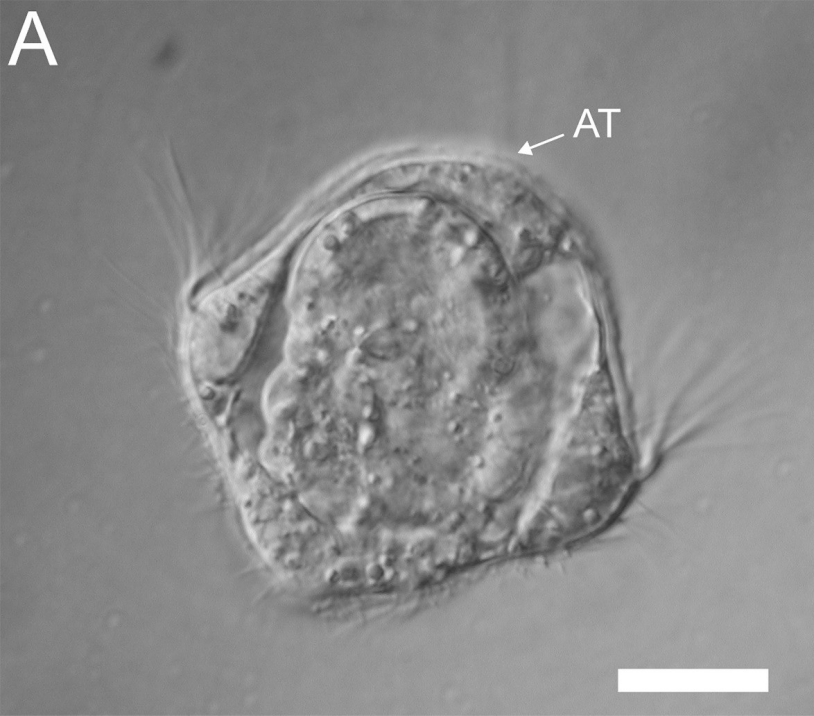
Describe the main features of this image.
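A whole trochophore larva seen by interference contrast, rounded to somewhat angular in outline. Long cilia project from the surface, clustered in tufts at the sides and at the top. A thin smooth outer layer encloses the body, with a large rounded internal compartment occupying much of the interior. The cells within are granular, with many small refractile droplets scattered through the cytoplasm. The outline is intact, with no loose cells lying beside the larva.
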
